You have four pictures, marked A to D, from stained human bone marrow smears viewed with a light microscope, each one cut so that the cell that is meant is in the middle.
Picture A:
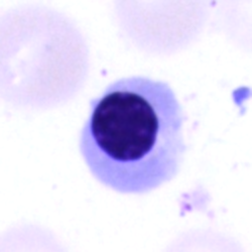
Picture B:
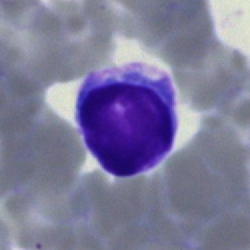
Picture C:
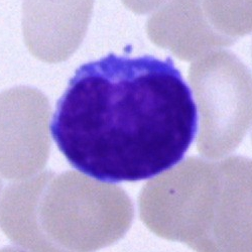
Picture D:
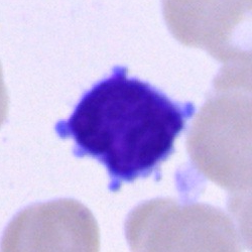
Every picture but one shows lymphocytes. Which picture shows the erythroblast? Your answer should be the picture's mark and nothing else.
A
